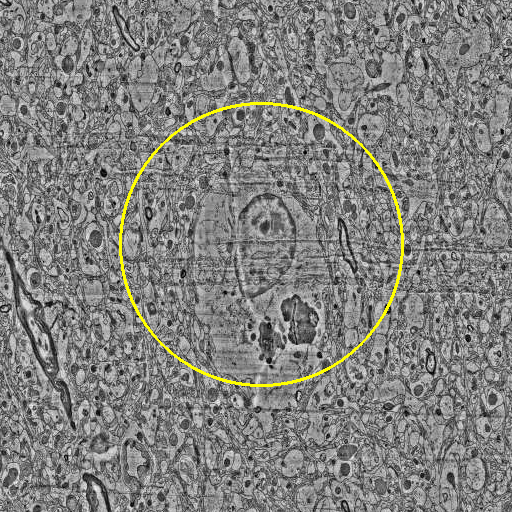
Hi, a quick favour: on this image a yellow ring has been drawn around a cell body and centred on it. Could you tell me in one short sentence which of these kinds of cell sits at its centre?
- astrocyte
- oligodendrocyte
The ring is centred on an astrocyte.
